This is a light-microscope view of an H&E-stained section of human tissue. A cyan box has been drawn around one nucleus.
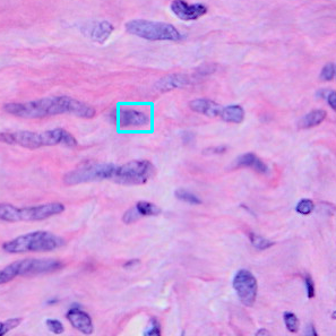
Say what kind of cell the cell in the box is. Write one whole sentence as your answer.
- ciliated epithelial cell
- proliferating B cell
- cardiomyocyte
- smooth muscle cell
Typologically, the cell in the box is a smooth muscle cell in this section.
